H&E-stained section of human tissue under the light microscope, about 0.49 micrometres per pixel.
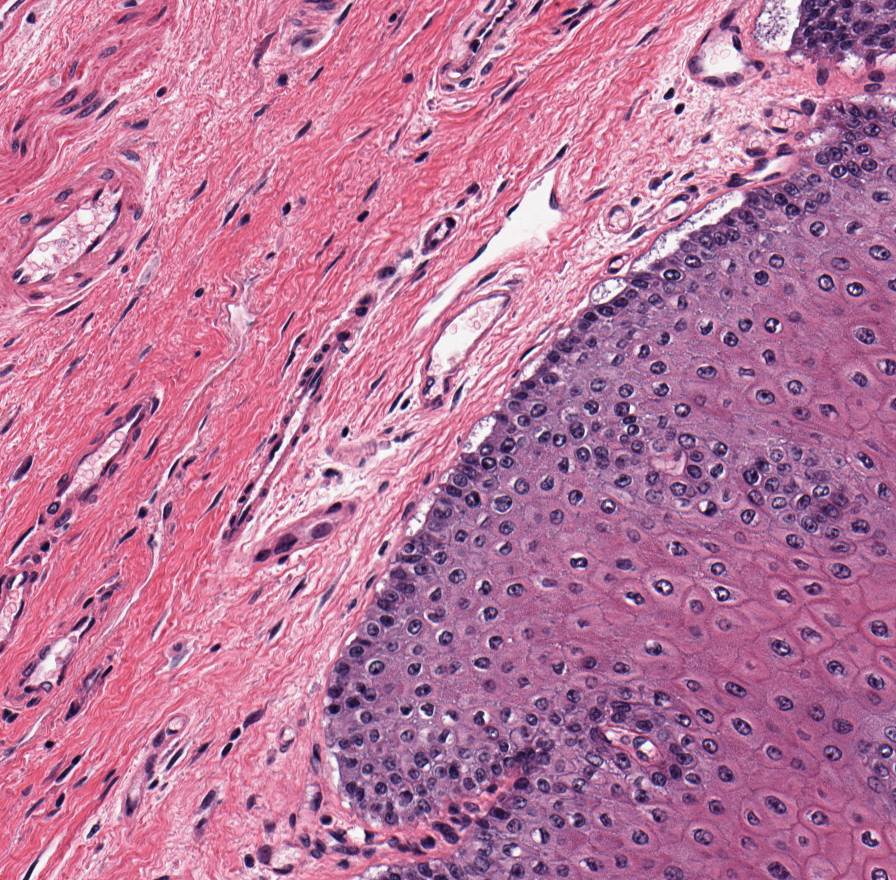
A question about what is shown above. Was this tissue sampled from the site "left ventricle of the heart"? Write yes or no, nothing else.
no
